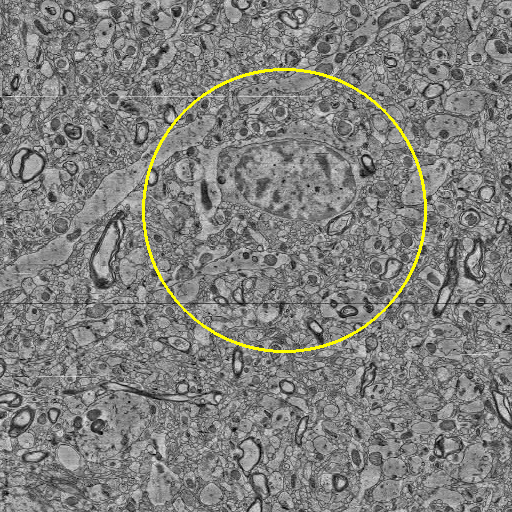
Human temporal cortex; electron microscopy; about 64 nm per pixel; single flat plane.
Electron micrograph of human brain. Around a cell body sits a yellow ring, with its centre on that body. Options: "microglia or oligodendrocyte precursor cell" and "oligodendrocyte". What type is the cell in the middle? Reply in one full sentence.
The cell sitting at the centre of the yellow ring is an oligodendrocyte.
